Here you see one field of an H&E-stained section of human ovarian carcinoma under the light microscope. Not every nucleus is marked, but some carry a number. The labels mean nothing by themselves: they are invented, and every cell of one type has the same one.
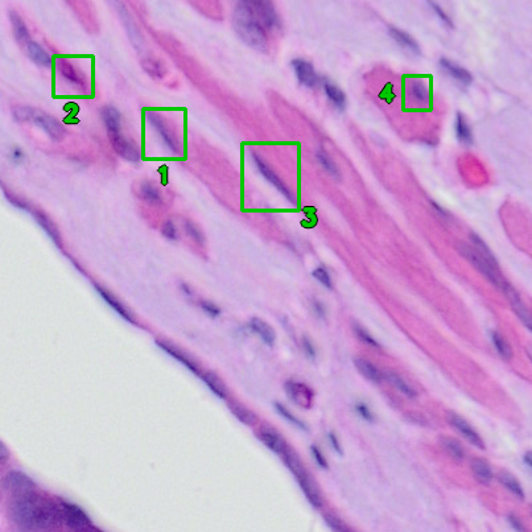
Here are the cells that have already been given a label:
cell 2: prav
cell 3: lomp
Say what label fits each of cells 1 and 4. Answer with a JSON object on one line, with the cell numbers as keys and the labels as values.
{"1": "lomp", "4": "lomp"}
